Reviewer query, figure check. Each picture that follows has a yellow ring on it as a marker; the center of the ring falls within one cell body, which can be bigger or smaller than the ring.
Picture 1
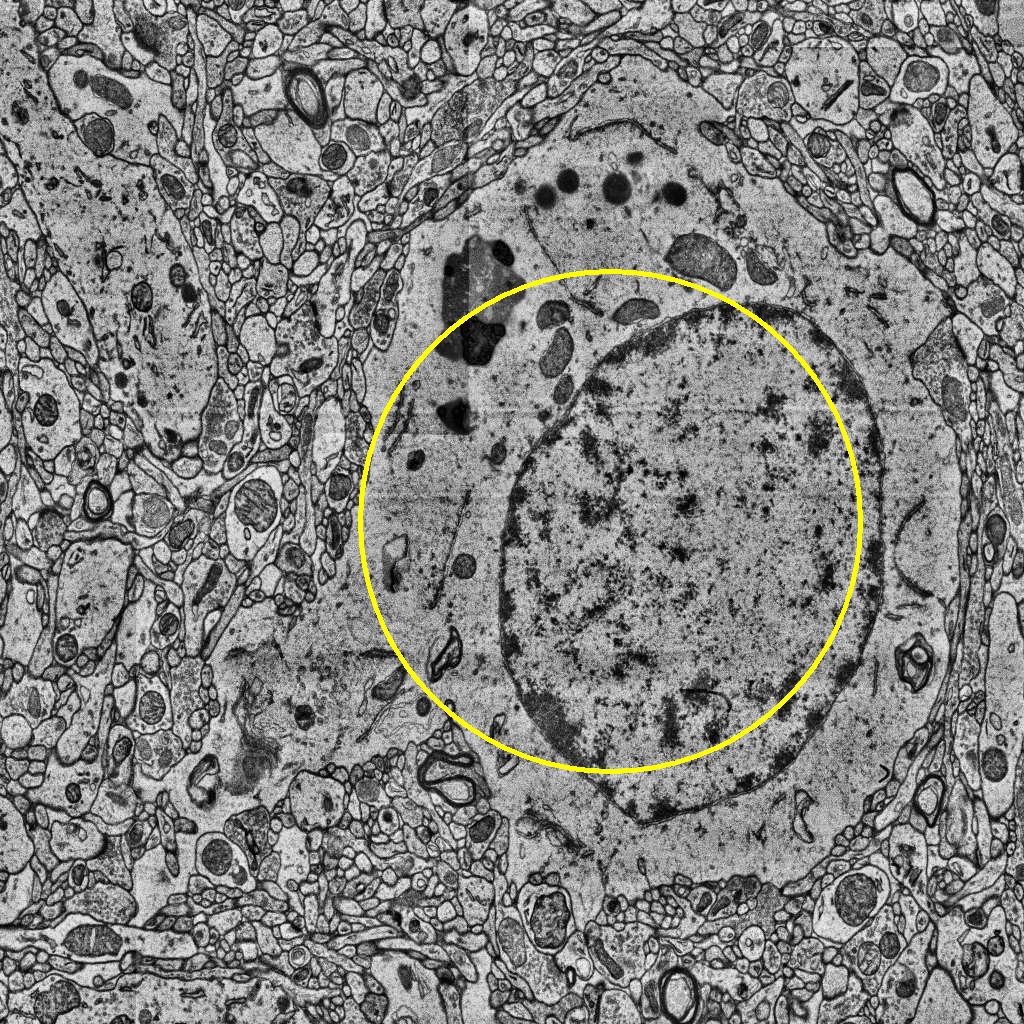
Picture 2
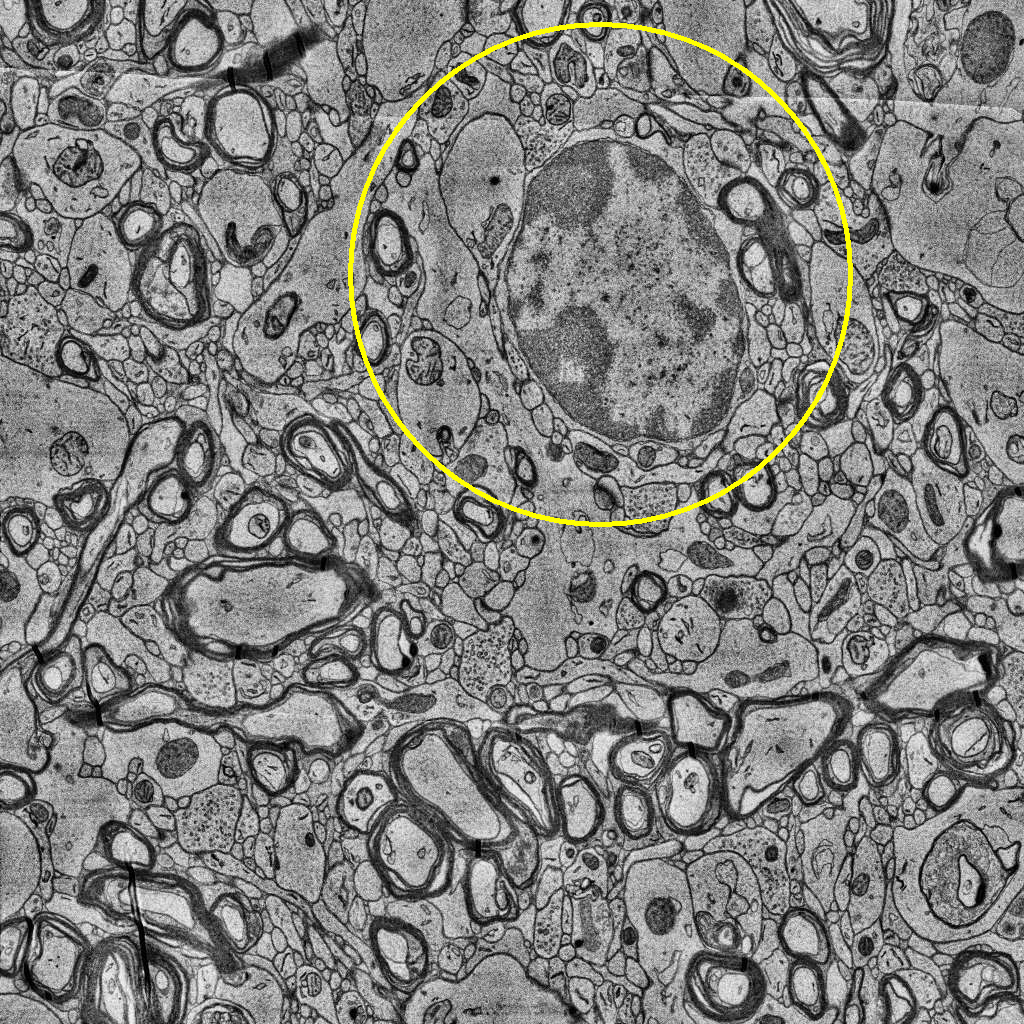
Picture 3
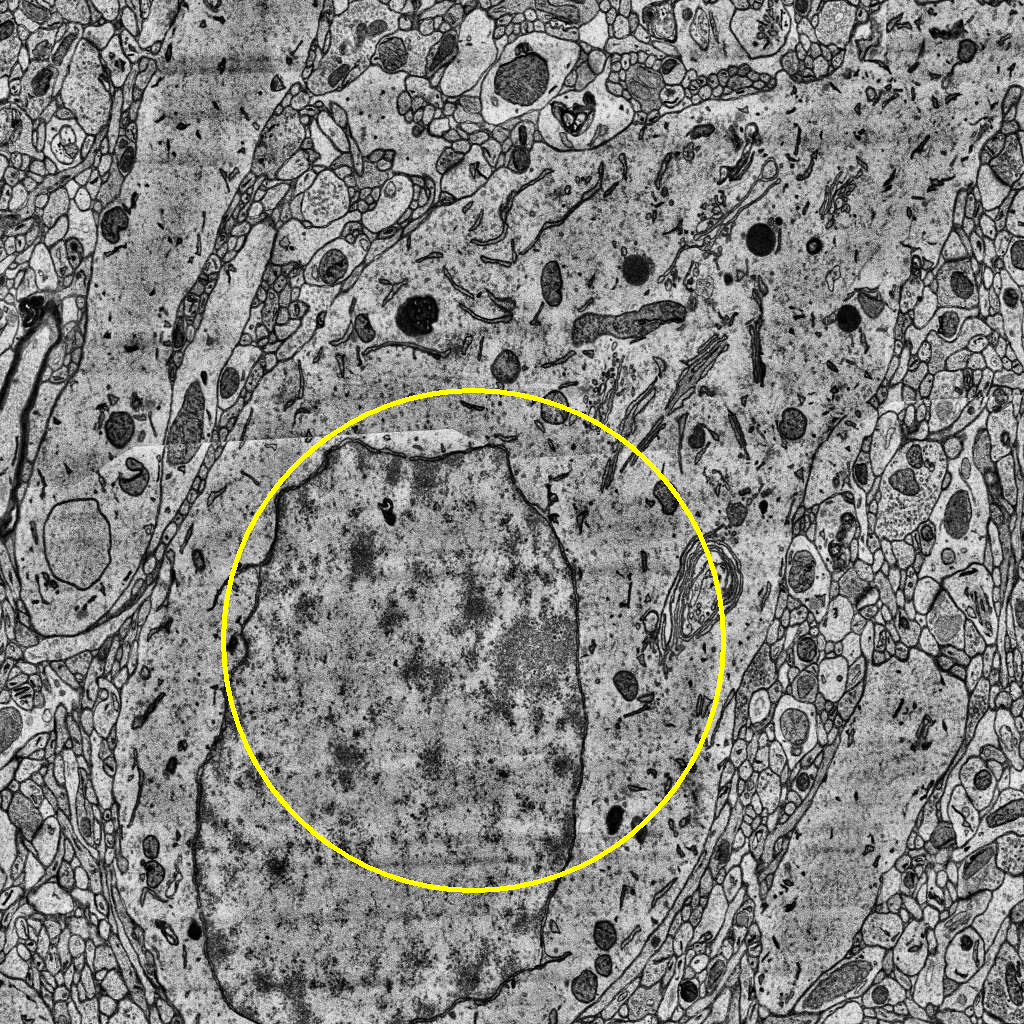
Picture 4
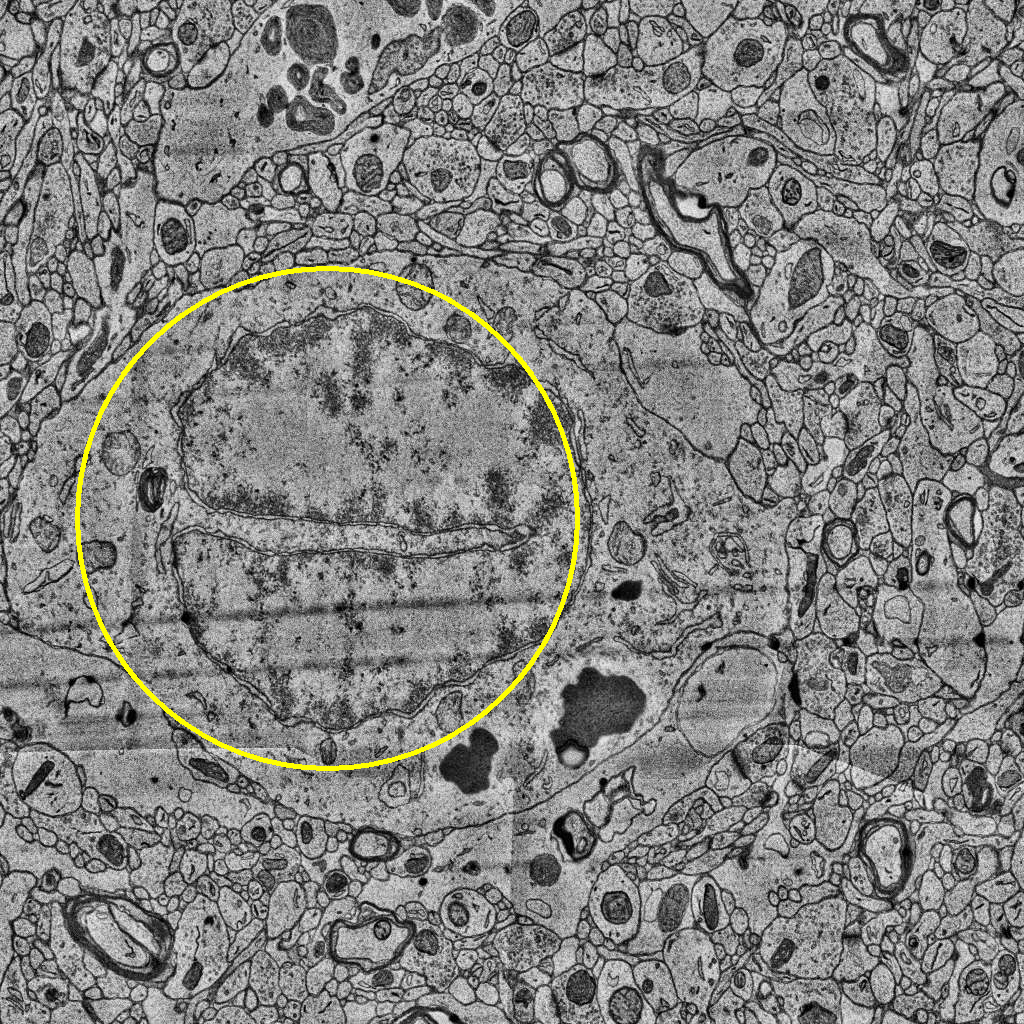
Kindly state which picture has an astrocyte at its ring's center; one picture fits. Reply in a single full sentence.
In picture 1, the cell at the center of the ring is the requested one.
